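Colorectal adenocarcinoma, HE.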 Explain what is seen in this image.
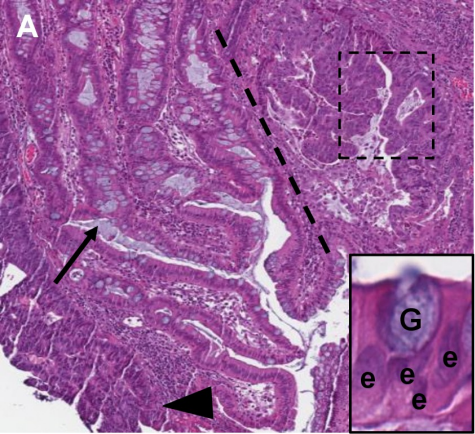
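Colonic mucosa with regular crypts on the left, lined by columnar cells with many pale mucus-filled goblet cells, and crowded irregular glands on the right beyond a dashed line. The inset shows columnar enterocytes with basal nuclei and a goblet cell with a pale bluish mucus droplet toward the lumen.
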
